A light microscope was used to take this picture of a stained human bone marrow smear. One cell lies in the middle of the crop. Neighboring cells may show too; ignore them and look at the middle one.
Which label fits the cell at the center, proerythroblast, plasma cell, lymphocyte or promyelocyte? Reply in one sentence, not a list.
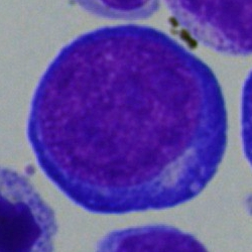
The cell at the middle of the frame should be recorded as a proerythroblast.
